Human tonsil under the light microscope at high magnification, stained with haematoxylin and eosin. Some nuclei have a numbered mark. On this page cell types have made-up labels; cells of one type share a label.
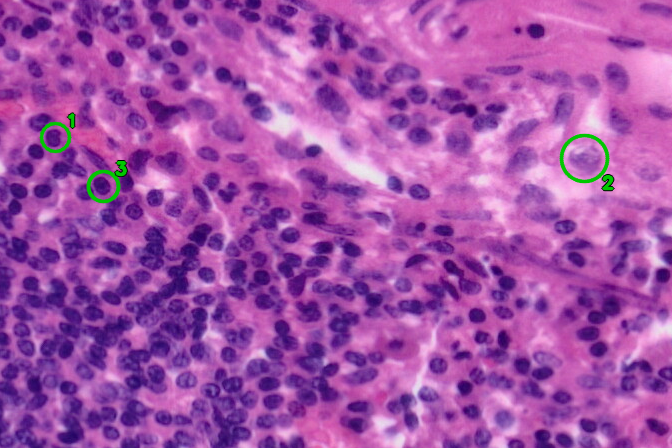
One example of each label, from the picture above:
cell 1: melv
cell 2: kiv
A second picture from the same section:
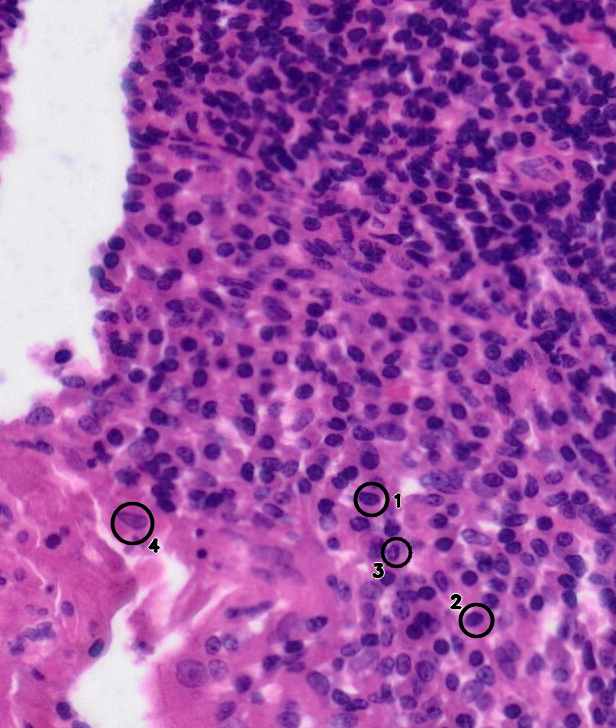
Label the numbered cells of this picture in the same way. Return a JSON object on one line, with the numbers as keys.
{"1": "melv", "2": "melv", "3": "melv", "4": "kiv"}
